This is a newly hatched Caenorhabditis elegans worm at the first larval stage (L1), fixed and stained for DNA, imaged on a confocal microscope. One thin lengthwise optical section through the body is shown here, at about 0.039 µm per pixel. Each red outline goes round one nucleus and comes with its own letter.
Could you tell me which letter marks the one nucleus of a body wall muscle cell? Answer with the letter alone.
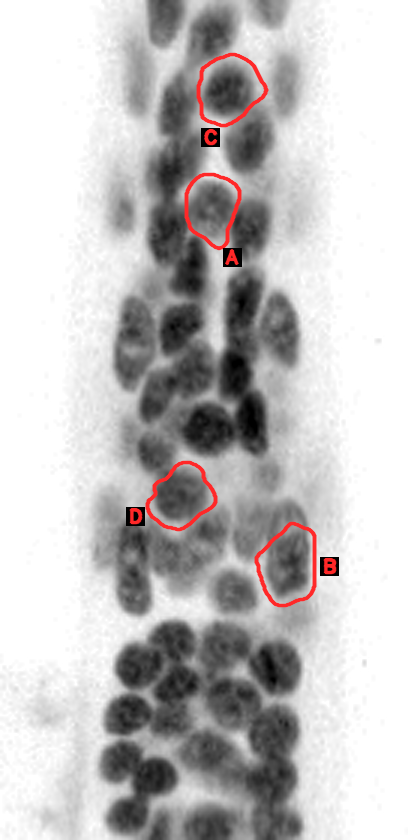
B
